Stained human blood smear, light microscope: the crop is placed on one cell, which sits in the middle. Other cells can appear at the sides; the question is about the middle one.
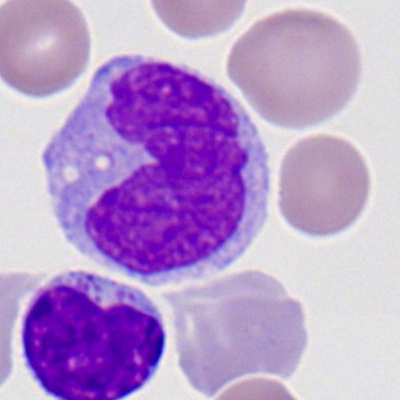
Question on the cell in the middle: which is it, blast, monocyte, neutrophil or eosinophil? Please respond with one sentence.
In short, the cell at the center is a monocyte.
